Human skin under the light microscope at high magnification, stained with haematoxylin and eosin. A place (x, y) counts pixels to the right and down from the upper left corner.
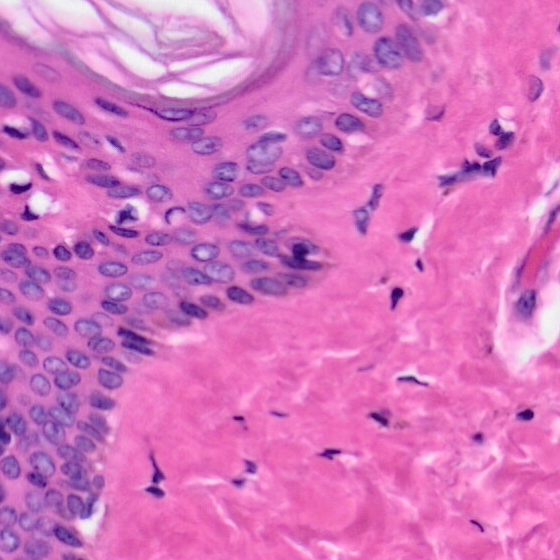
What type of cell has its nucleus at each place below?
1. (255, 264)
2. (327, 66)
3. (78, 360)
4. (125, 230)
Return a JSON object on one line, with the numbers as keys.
{"1": "basal keratinocyte", "2": "suprabasal keratinocyte", "3": "suprabasal keratinocyte", "4": "basal keratinocyte"}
